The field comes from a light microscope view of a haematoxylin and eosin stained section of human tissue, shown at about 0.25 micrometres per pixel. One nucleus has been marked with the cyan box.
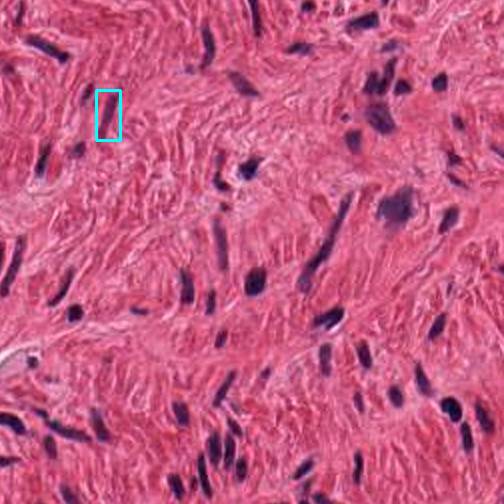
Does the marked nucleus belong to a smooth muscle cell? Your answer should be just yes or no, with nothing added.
yes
